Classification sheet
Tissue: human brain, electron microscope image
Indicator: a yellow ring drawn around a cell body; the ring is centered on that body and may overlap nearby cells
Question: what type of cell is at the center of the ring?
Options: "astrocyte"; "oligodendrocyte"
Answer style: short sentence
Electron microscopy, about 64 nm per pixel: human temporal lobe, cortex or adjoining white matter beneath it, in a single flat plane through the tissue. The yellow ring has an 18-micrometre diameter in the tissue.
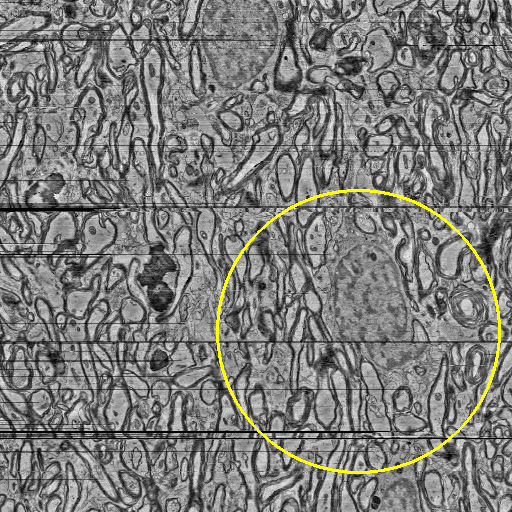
At the ring's center is an oligodendrocyte.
